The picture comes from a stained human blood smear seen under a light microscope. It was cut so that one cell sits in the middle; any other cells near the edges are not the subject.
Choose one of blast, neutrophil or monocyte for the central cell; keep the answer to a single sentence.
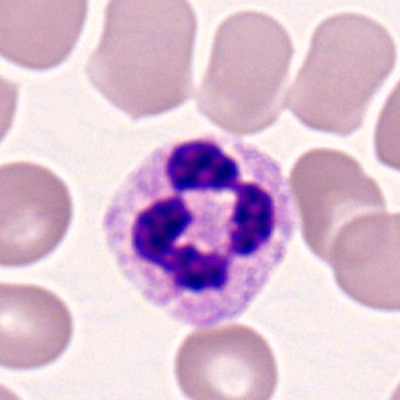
To answer, the cell in the center of the crop is a neutrophil.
